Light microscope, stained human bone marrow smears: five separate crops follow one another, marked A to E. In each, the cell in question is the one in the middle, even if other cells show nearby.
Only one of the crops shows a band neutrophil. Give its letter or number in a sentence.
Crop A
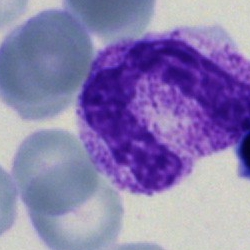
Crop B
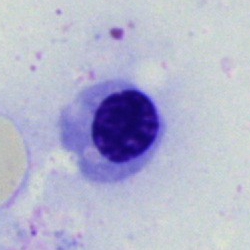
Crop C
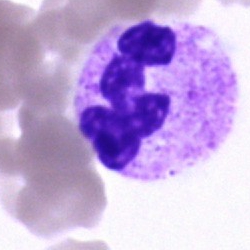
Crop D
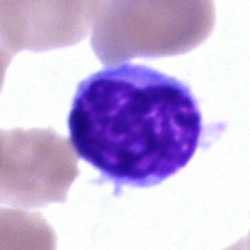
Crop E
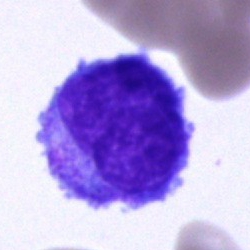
It is crop A, not any other, that shows a band neutrophil.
